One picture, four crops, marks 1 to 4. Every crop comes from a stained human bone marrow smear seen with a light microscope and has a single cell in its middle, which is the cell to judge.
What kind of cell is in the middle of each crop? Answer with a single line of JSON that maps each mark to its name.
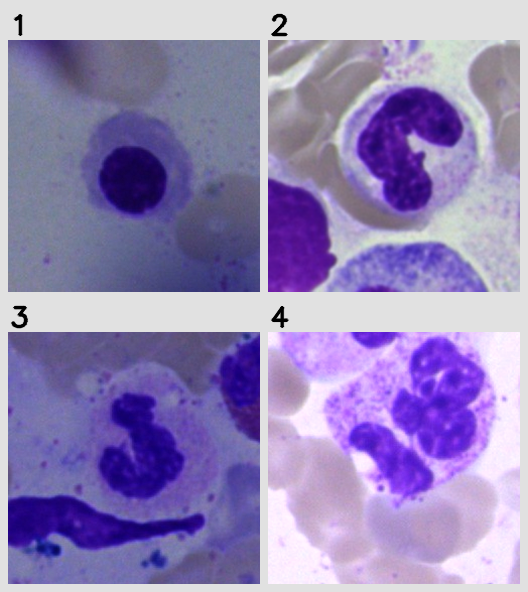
{"1": "erythroblast", "2": "band neutrophil", "3": "segmented neutrophil", "4": "segmented neutrophil"}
